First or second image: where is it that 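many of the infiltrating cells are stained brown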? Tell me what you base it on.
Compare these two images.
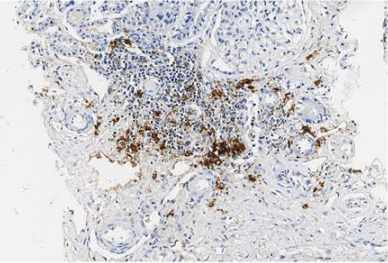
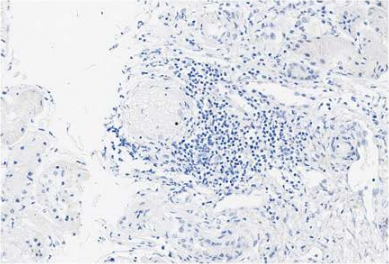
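The first image. Second image: the dense cluster of interstitial cells is blue only, with hardly any brown. First image: many brown-stained cells lie in and around the cluster.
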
